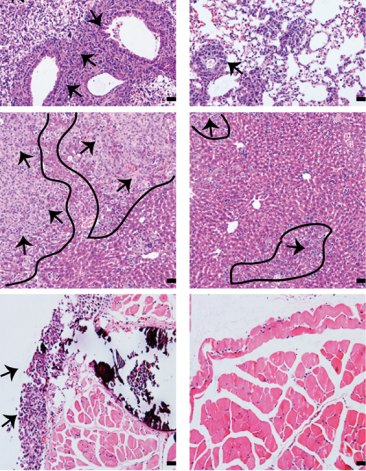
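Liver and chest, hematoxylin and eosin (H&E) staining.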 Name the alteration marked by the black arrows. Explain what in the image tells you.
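Metastatic colonization. The arrows point to dense clusters of crowded, darkly purple-stained cells. In the liver images, black lines set off regions of densely cellular tissue from the surrounding pink hepatocyte cords. In one image, a band of packed purple cells lies along pink skeletal muscle bundles.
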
